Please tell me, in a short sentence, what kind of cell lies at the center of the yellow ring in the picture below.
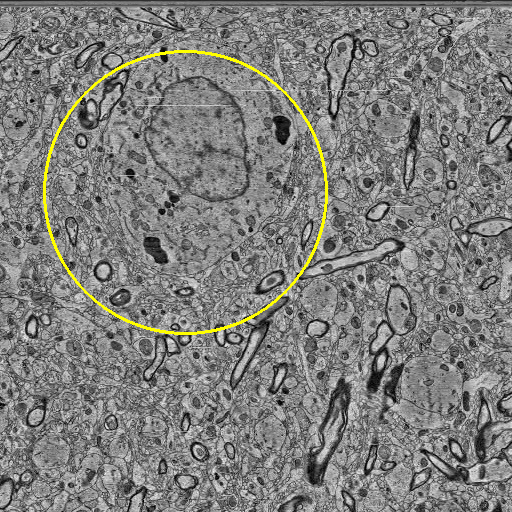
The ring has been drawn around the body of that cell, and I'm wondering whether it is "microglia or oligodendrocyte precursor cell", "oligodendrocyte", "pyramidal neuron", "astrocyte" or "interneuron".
The cell at the center of the ring is a pyramidal neuron.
